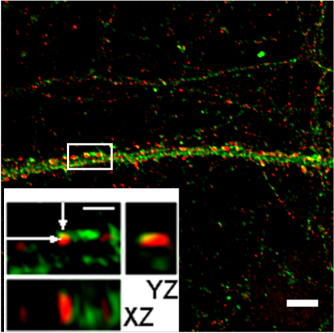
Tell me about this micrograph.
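This merged image shows neuronal processes of cultured neurons decorated with green and red puncta. A thick process runs horizontally across the middle of the field, densely lined with small green and red dots, some of which overlap as yellow. Thinner, fainter processes with sparse puncta cross the upper part of the field. A boxed region on the thick process is enlarged in an inset, where a red punctum sits next to green label, and orthogonal side views show the red and green spots lying close together in depth.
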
